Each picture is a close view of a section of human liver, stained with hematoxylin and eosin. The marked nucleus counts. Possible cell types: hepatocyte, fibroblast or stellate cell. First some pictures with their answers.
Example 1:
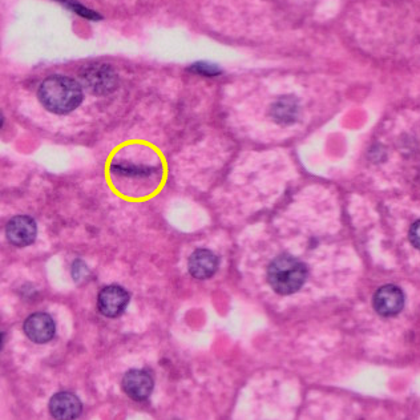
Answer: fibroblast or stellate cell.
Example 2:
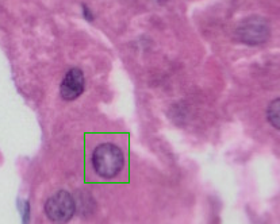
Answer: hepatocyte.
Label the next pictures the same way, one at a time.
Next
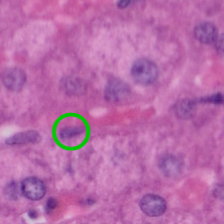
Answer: fibroblast or stellate cell.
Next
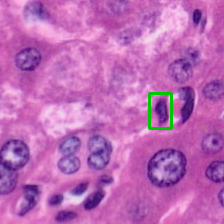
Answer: fibroblast or stellate cell.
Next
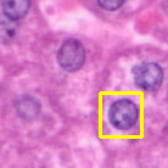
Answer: hepatocyte.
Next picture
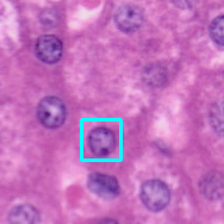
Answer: hepatocyte.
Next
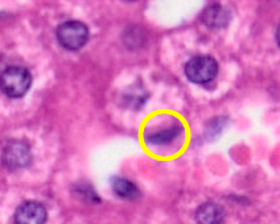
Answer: fibroblast or stellate cell.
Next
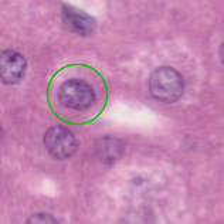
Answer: hepatocyte.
